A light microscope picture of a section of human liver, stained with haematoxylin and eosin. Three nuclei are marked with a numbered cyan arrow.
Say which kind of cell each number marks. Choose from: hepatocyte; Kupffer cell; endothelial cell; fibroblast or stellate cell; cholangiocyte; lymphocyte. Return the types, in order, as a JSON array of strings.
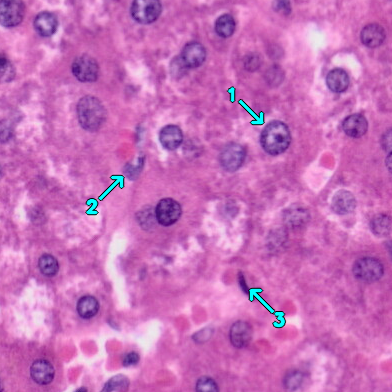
["hepatocyte", "endothelial cell", "fibroblast or stellate cell"]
